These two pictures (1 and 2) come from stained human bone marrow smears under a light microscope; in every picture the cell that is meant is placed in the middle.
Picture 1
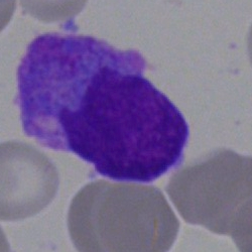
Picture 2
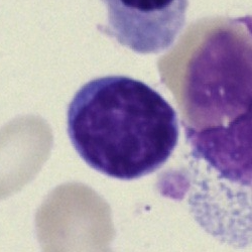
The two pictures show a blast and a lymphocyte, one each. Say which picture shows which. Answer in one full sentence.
It is picture 1 that shows a blast, and picture 2 that shows a lymphocyte.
